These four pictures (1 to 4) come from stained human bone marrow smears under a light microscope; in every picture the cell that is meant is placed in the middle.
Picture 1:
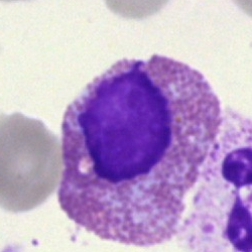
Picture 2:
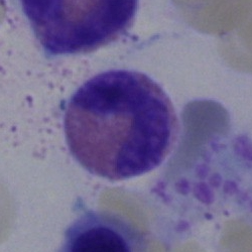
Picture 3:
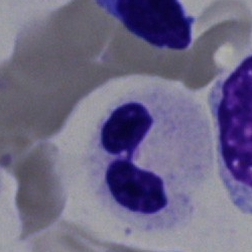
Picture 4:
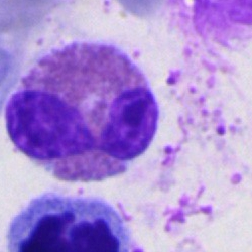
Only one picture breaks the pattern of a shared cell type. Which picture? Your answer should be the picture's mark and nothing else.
3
